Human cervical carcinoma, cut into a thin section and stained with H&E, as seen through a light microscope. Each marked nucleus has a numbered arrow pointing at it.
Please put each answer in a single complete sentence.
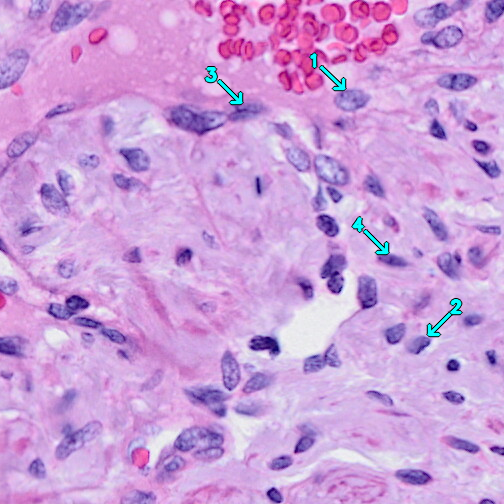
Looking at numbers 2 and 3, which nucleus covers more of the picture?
Nucleus 3 covers more area, about 1.5 times as much as nucleus 2.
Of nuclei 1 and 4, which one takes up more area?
Nucleus 1 covers more area, about 2 times as much as nucleus 4.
